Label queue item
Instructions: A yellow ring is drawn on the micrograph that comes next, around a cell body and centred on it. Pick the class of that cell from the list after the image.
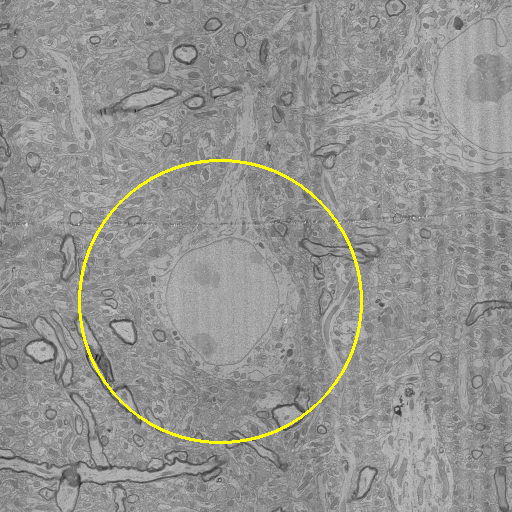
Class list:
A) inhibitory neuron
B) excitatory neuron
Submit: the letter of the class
B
